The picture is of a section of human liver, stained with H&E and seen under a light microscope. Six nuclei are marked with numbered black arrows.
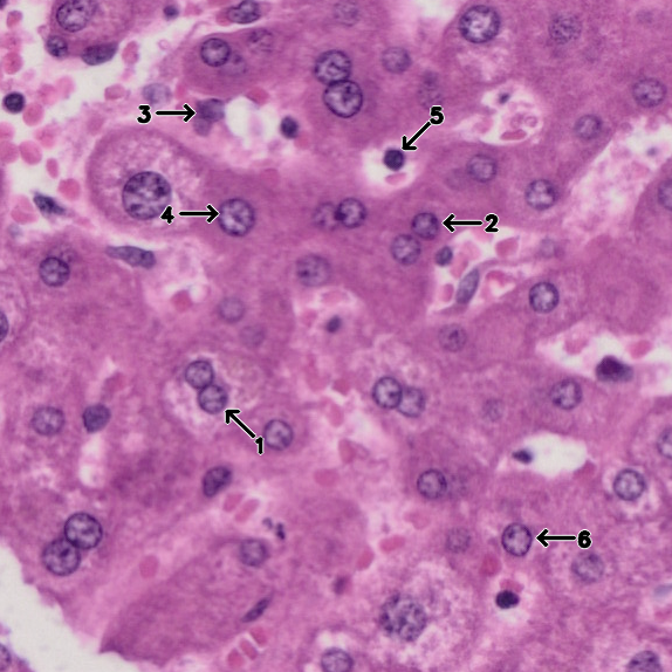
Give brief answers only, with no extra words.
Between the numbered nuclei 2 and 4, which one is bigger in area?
4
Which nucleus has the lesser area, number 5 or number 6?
5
